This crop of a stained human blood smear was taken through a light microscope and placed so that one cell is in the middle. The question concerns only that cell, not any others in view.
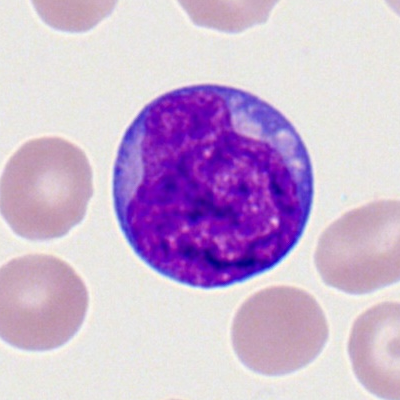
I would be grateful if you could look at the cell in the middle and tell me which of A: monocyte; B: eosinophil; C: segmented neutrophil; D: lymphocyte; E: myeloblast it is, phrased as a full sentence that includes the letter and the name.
What sits in the middle of the crop is a myeloblast, and option E is correct.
